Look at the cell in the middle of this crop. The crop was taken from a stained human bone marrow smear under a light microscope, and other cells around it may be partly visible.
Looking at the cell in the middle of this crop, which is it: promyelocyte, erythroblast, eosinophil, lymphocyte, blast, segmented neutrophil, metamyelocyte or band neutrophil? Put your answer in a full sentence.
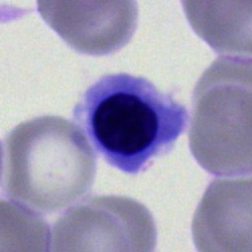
Framed in the middle of the crop is an erythroblast.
